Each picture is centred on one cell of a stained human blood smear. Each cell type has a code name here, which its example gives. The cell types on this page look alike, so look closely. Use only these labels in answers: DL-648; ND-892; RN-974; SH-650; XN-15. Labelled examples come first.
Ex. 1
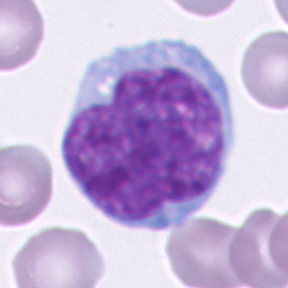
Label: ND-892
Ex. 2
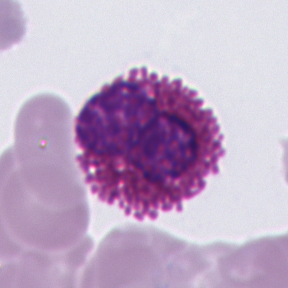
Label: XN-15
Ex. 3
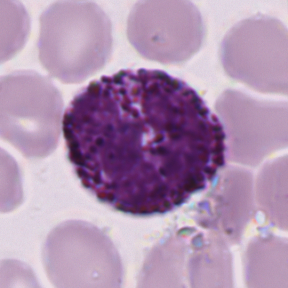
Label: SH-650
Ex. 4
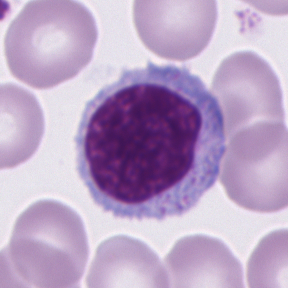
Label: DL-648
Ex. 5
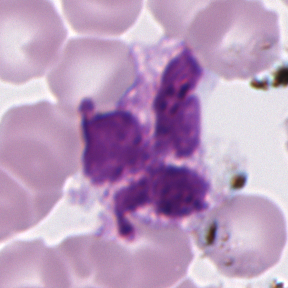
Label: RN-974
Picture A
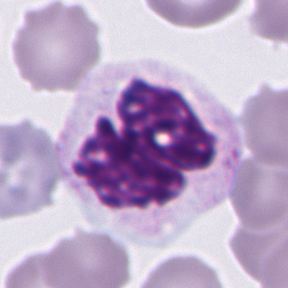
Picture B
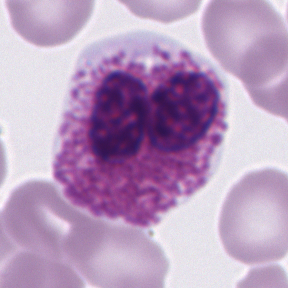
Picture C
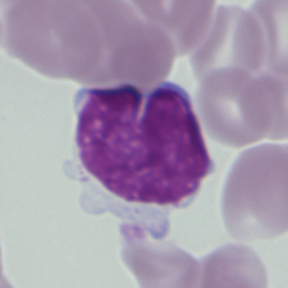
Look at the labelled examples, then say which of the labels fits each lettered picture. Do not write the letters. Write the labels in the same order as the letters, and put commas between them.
RN-974, XN-15, DL-648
